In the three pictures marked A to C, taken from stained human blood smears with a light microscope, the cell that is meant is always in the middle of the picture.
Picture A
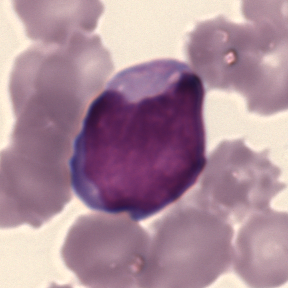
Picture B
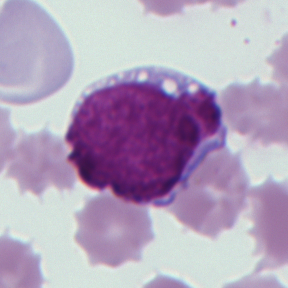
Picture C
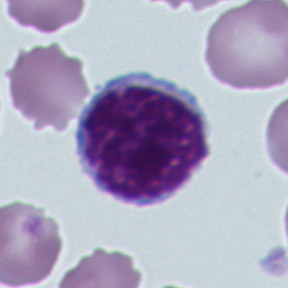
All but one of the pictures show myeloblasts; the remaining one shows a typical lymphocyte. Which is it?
C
